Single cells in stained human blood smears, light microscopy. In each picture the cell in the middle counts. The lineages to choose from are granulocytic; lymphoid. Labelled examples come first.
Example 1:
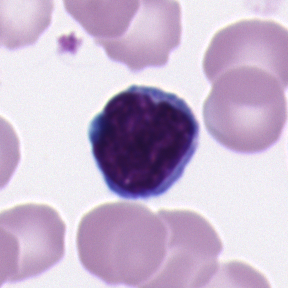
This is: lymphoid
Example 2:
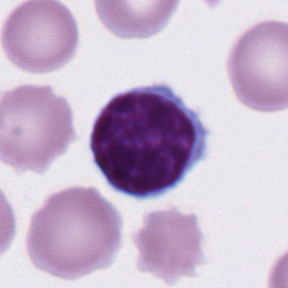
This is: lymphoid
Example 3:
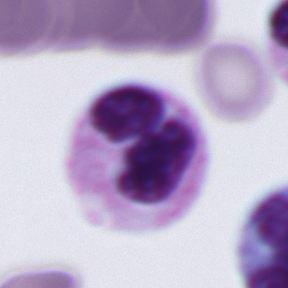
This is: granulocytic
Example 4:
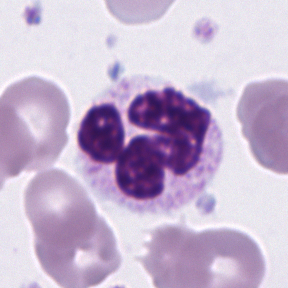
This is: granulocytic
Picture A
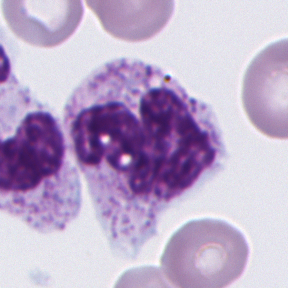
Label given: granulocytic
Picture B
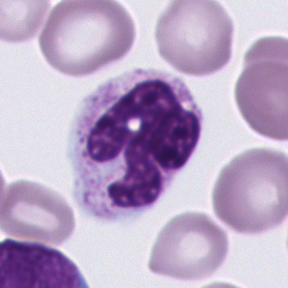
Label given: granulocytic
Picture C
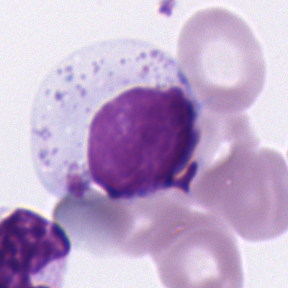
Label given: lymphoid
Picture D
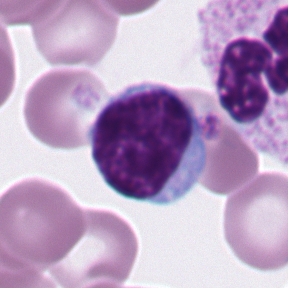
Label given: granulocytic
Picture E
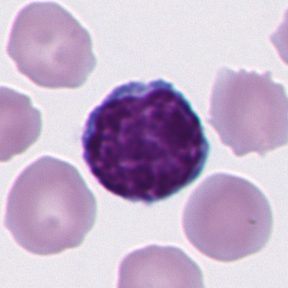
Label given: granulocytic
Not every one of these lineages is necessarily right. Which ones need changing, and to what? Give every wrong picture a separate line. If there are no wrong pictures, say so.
Wrong: D (granulocytic); correct: lymphoid
Wrong: E (granulocytic); correct: lymphoid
